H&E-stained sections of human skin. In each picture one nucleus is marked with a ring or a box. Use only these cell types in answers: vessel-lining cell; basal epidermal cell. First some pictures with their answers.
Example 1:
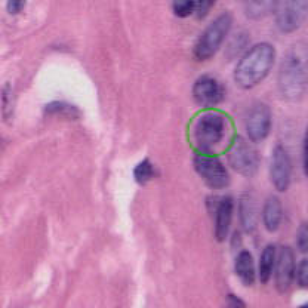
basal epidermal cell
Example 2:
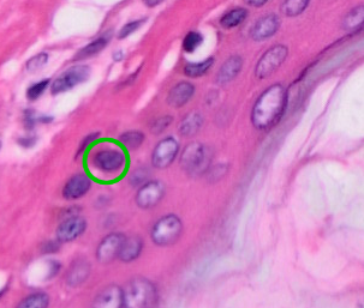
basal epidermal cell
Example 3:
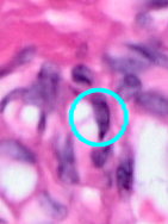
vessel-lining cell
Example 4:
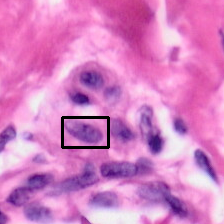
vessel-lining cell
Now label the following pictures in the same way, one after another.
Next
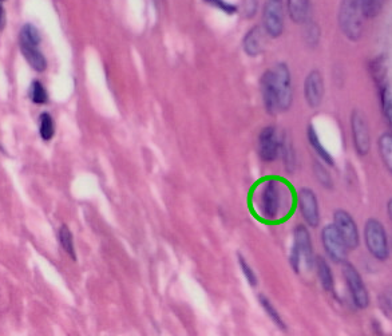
basal epidermal cell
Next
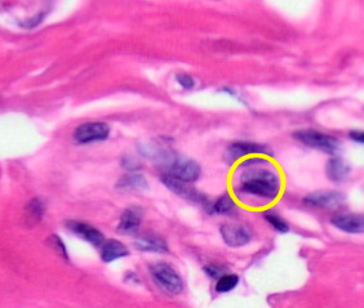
vessel-lining cell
